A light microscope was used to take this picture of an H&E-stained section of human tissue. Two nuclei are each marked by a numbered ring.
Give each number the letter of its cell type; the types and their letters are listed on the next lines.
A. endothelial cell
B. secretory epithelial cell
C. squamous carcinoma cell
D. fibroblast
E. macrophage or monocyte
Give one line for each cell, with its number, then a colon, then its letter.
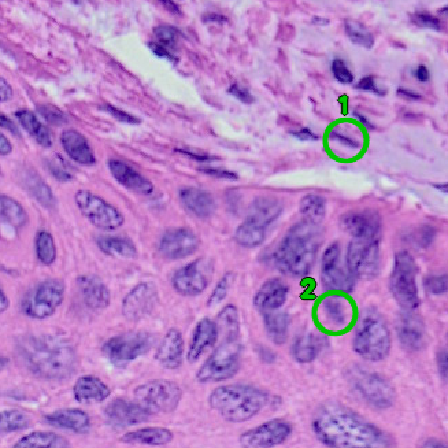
1: D
2: C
